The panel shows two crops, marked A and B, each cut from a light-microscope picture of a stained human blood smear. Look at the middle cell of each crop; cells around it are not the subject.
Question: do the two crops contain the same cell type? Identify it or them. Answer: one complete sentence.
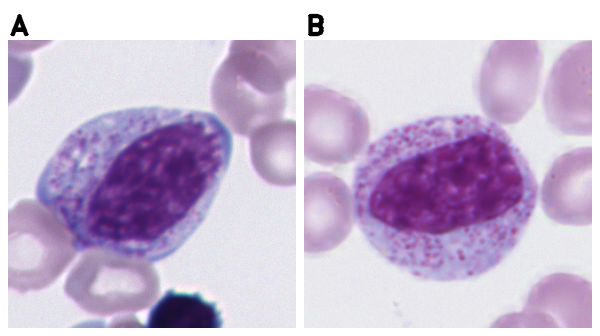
Yes, the centre cells of both crops are myelocytes.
